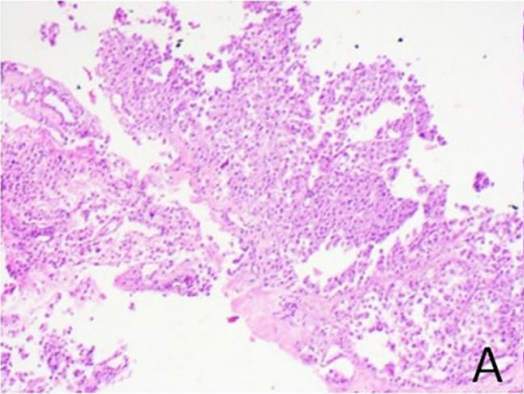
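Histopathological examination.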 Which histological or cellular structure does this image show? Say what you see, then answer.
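Fragmented biopsy pieces with strips of pale pink, sparsely cellular tissue. Densely cellular areas lie beside the pale fibrous strips.
Answer: cores of the fibrous tissue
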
